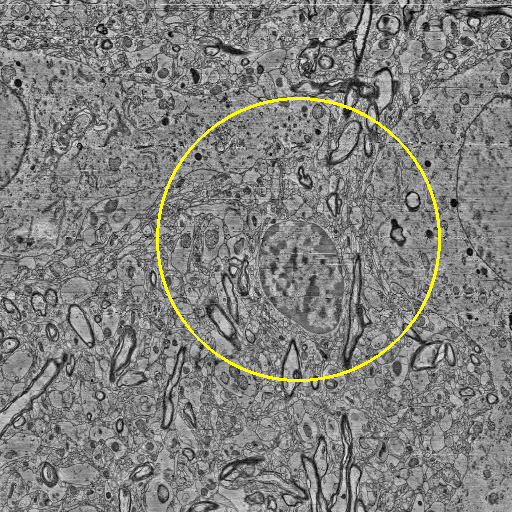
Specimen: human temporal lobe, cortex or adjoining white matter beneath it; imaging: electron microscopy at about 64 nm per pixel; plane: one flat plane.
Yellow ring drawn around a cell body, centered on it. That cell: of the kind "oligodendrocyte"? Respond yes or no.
no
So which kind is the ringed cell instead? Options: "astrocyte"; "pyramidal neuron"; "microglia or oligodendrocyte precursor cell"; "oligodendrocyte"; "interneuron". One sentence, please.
It is a microglial cell or oligodendrocyte precursor cell that the ring is centred on.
